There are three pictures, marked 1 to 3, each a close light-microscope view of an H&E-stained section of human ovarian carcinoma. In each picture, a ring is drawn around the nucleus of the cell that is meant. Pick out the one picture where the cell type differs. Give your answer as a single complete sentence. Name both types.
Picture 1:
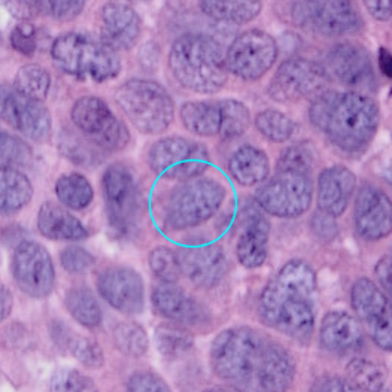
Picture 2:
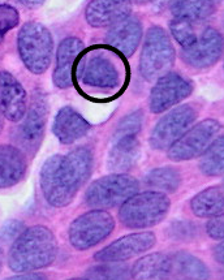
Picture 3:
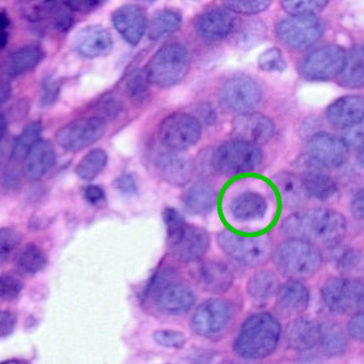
Unlike the rest, which show carcinoma cells, picture 3 shows a “macrophage or monocyte”.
